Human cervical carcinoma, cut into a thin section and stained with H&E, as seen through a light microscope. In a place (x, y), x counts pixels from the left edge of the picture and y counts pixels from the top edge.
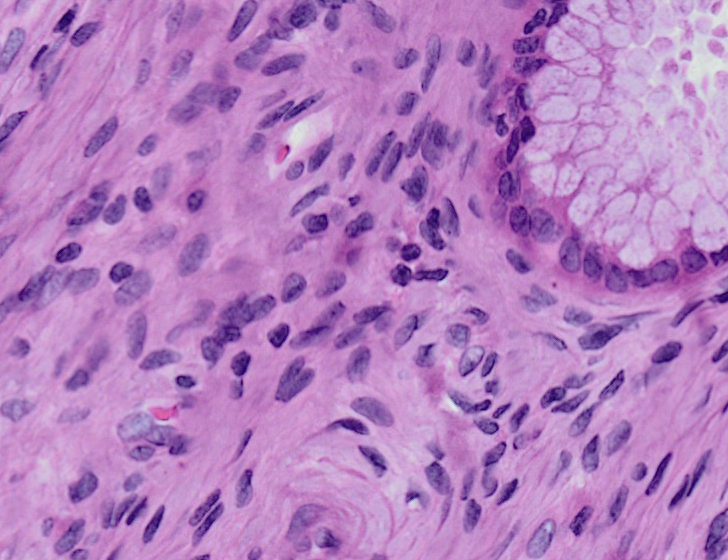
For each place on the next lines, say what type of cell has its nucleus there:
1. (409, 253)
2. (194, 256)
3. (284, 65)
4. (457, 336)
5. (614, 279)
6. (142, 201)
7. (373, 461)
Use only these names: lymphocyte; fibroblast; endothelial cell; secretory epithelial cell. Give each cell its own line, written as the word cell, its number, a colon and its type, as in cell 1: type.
cell 1: lymphocyte
cell 2: fibroblast
cell 3: fibroblast
cell 4: endothelial cell
cell 5: secretory epithelial cell
cell 6: lymphocyte
cell 7: fibroblast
